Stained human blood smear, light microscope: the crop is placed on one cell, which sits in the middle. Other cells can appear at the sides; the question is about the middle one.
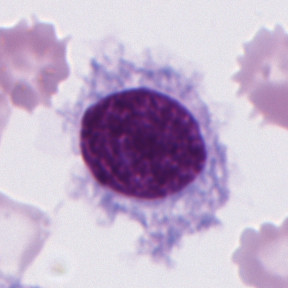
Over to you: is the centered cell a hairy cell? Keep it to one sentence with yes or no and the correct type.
Yes, the cell occupying the middle of the crop is a hairy cell.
